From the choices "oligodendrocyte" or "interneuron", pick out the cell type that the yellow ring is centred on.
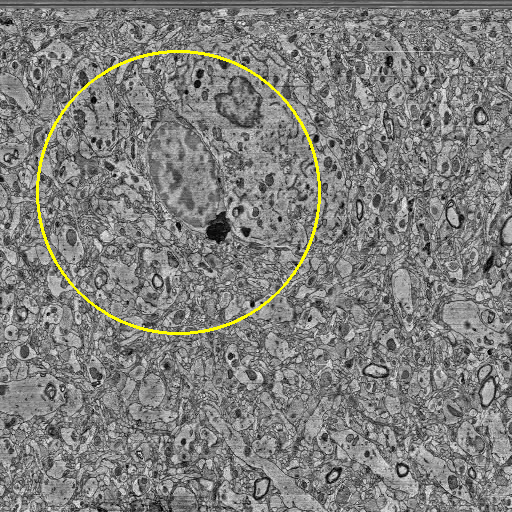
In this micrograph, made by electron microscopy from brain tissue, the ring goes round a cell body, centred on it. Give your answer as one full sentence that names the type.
The yellow ring is centred on an oligodendrocyte, whose cell body it encircles in the picture.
